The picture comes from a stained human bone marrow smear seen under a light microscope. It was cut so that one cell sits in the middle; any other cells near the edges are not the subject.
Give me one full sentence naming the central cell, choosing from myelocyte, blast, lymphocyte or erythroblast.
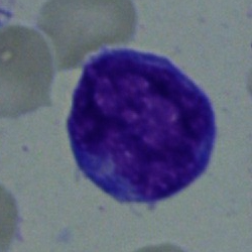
Centrally within this crop lies a blast.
